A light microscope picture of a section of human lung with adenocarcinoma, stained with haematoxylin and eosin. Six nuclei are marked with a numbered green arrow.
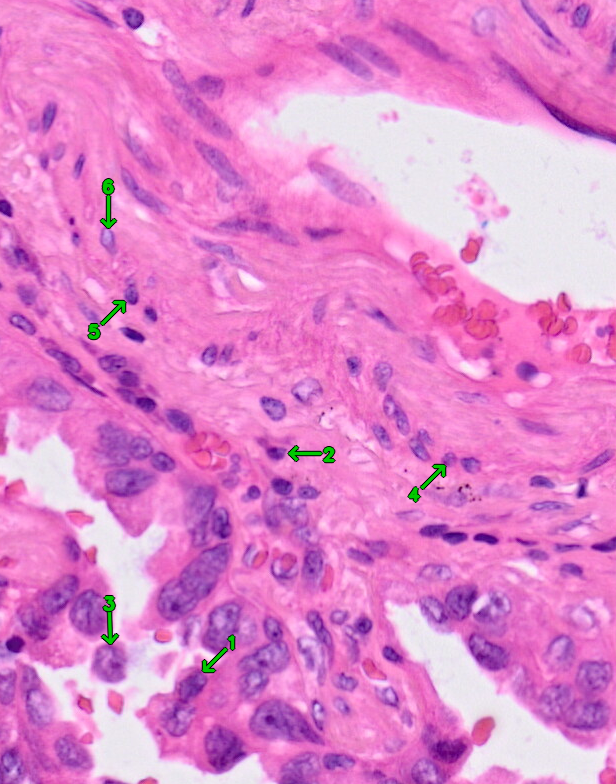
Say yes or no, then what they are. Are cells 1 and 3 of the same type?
Yes, in the case of cells 1 and 3, both are carcinoma cells.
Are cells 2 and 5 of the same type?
No, sorry to say, cell 2 is a plasma cell and cell 5 is a smooth muscle cell or pericyte.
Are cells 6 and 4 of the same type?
Yes, along with cell 6, cell 4 is also among the smooth muscle cells or pericytes.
